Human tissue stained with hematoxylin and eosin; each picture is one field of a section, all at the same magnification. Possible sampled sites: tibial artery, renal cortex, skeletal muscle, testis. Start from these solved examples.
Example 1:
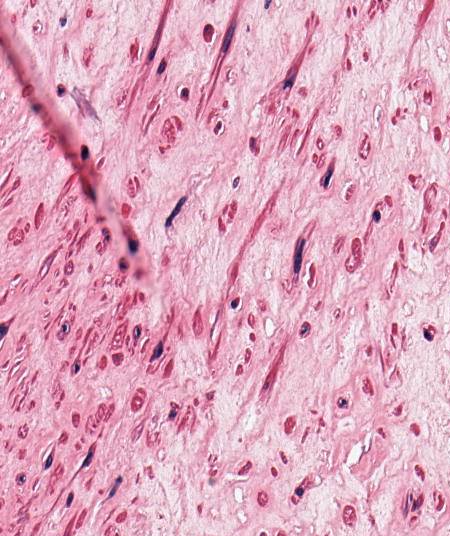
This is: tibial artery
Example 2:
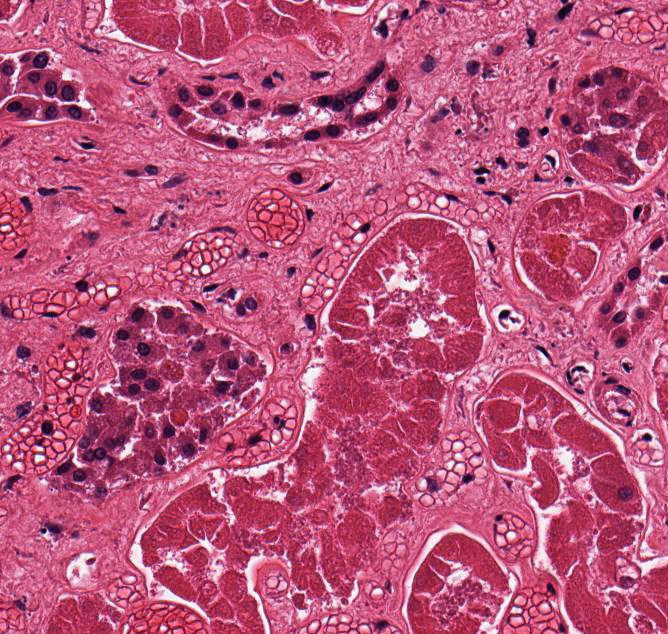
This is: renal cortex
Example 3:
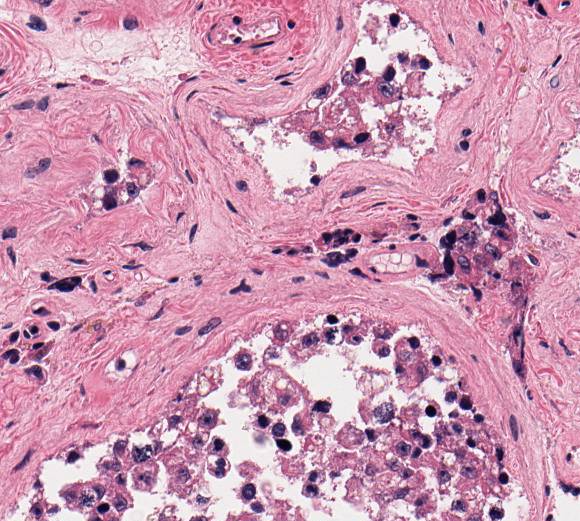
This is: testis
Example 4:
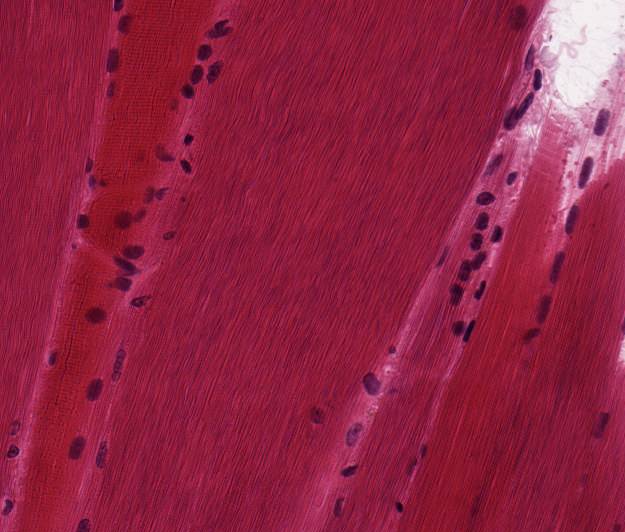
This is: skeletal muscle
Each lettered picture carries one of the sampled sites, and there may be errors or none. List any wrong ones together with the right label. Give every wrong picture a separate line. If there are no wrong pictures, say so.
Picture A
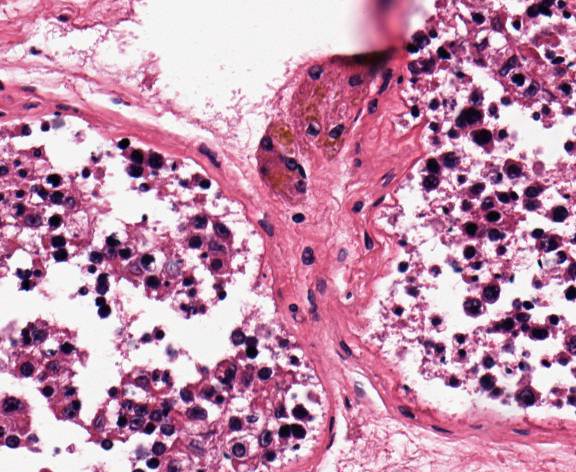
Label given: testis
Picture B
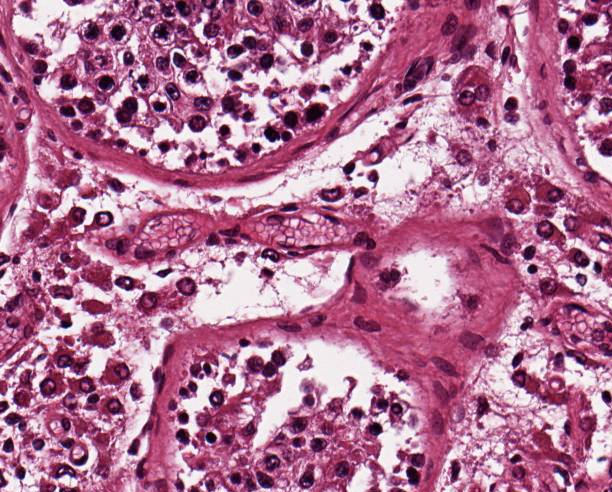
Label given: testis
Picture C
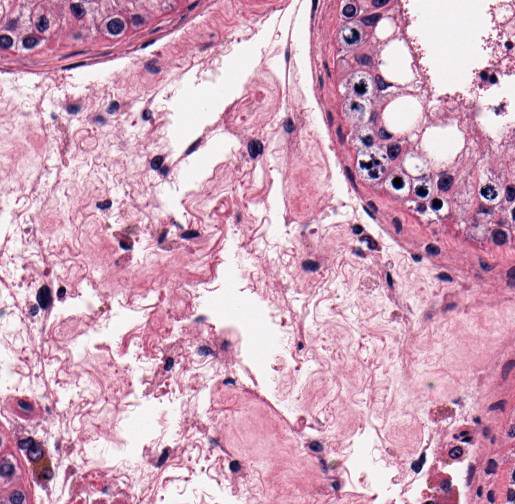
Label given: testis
Nothing to fix; every label fits.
